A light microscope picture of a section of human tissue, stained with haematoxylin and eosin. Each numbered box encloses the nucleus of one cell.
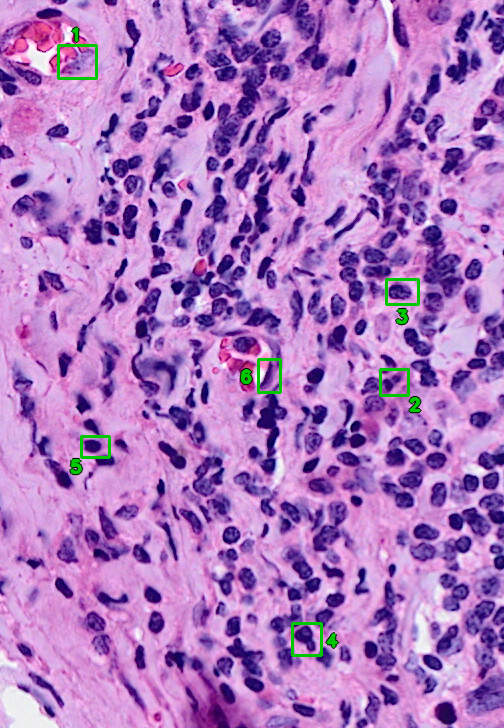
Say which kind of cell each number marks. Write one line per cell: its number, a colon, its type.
1: endothelial cell
2: lymphocyte
3: lymphocyte
4: lymphocyte
5: lymphocyte
6: endothelial cell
